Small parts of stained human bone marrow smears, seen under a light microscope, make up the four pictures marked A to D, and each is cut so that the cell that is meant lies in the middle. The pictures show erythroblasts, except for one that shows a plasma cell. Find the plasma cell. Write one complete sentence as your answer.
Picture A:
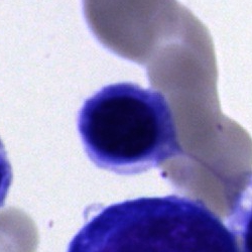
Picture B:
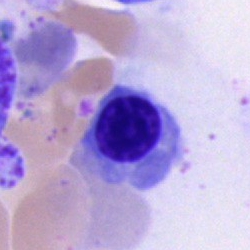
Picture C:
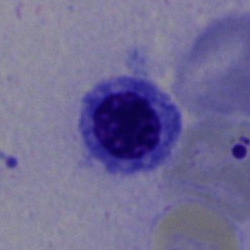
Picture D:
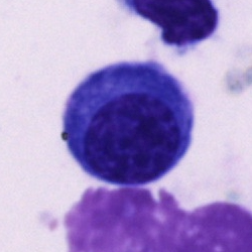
The picture with the plasma cell is D.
